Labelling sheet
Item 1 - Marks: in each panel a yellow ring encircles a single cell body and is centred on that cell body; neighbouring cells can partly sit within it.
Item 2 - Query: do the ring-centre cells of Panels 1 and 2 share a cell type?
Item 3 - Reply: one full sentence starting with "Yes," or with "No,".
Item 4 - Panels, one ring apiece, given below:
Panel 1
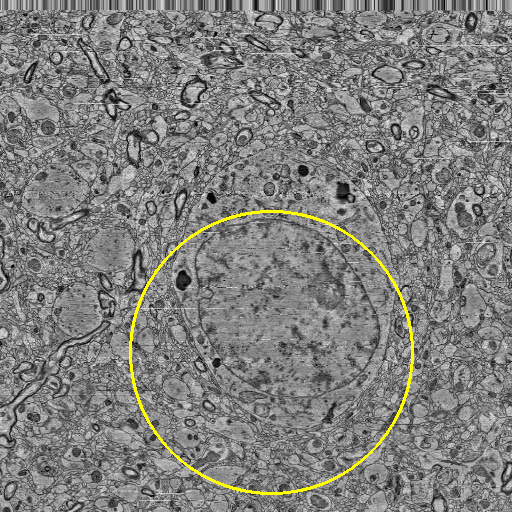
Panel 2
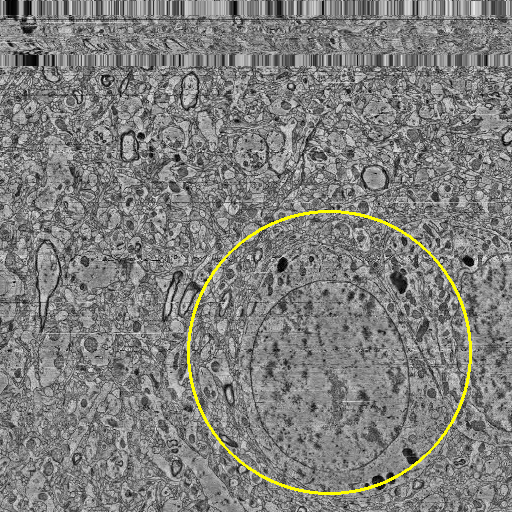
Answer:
Yes, Panel 1 and Panel 2 show one cell type at the centres of their rings.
